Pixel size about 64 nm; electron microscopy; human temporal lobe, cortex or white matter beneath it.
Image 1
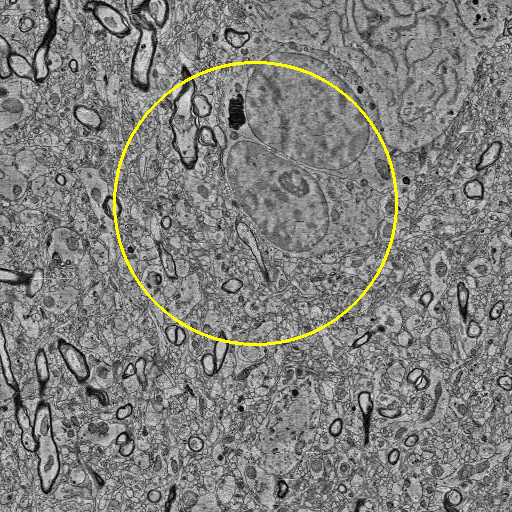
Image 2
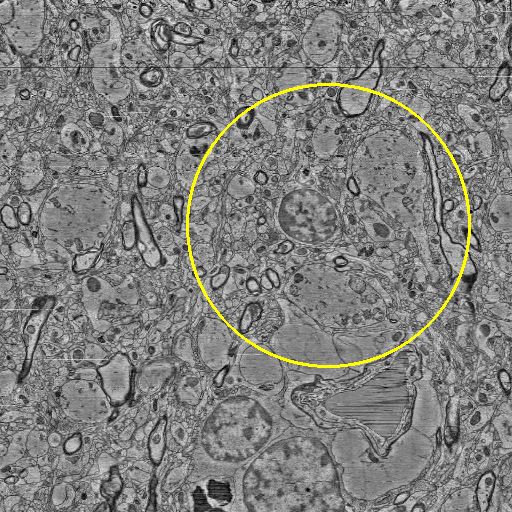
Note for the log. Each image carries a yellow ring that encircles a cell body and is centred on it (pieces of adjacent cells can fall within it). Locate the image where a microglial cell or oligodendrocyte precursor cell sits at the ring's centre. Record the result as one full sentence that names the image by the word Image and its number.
Image 2 has the wanted cell sitting at the centre of its ring.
